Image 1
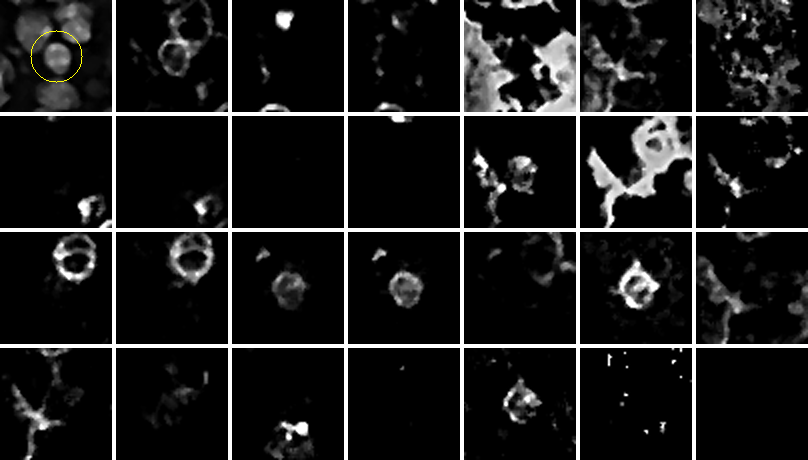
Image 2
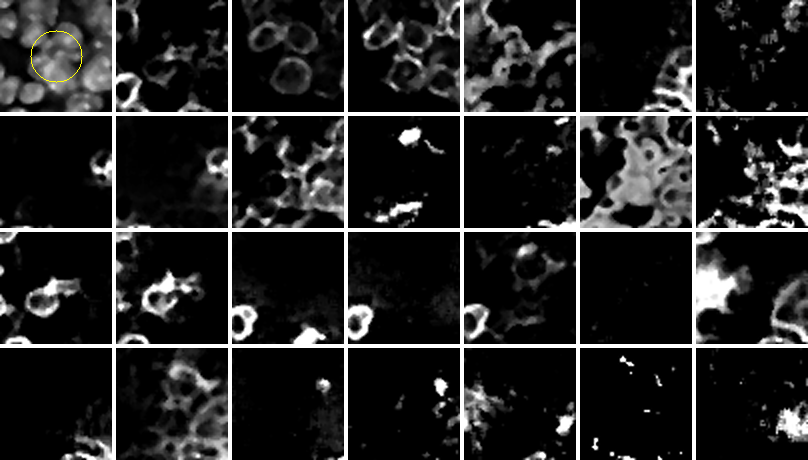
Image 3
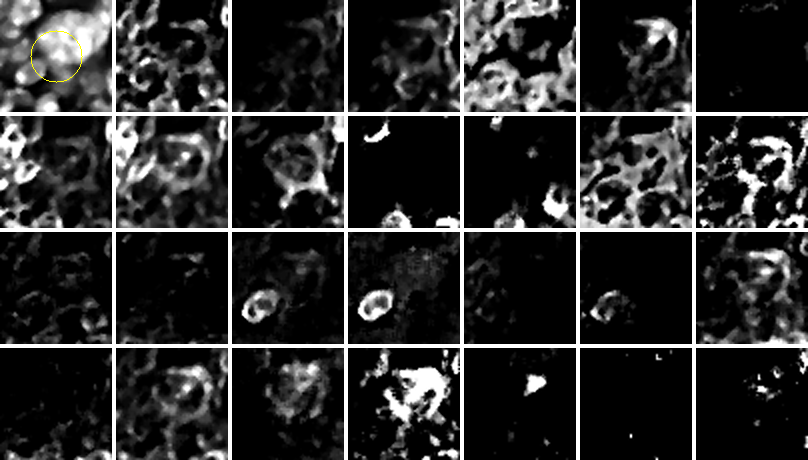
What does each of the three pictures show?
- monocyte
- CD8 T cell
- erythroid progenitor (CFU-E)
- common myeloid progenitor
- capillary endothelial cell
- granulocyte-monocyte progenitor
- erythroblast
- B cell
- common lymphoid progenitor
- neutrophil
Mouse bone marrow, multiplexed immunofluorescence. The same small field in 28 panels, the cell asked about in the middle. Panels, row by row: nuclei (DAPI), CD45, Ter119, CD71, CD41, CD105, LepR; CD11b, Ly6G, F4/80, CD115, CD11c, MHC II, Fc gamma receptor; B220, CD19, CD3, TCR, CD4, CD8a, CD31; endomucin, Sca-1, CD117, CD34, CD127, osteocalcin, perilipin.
(1) common lymphoid progenitor
(2) B cell
(3) erythroid progenitor (CFU-E)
